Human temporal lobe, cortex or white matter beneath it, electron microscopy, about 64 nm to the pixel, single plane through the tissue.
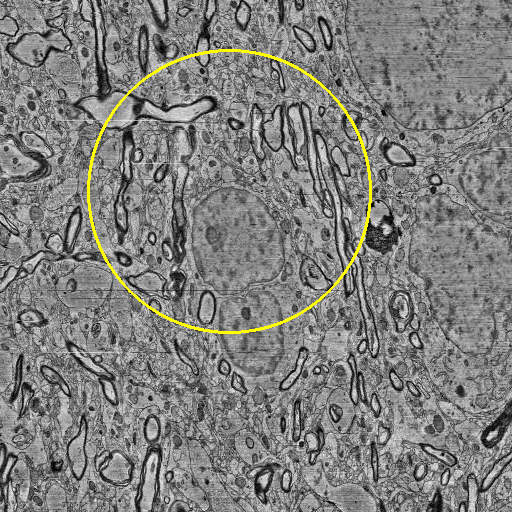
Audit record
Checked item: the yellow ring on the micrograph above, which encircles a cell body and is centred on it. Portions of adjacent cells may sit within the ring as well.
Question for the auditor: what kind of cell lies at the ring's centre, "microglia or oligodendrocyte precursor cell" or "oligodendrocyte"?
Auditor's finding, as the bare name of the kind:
oligodendrocyte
